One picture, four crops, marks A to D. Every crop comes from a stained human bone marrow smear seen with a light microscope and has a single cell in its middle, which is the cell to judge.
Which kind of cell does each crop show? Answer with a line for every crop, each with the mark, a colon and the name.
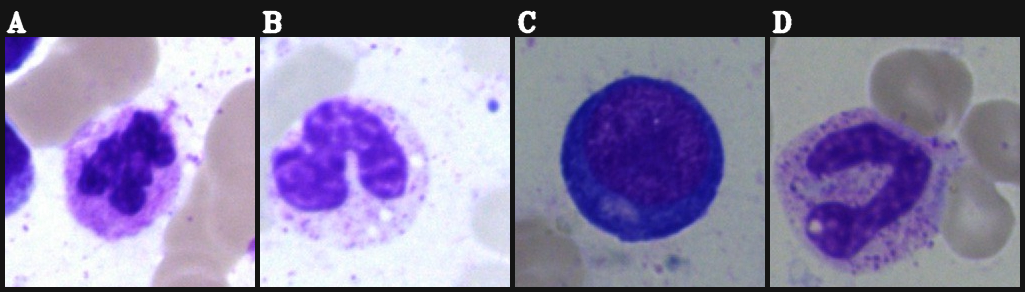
A: segmented neutrophil
B: band neutrophil
C: proerythroblast
D: band neutrophil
